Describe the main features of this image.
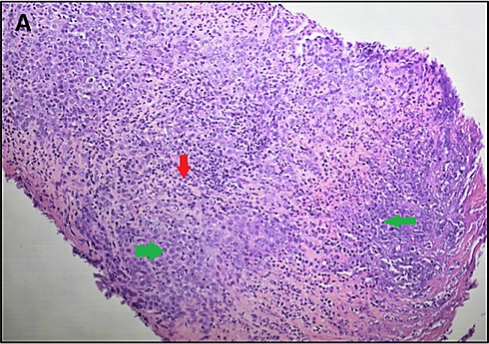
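This low-power view of a biopsy core shows sheets of poorly differentiated tumor cells without glandular organisation. Small dark lymphocytes lie densely among and between the tumor cells.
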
